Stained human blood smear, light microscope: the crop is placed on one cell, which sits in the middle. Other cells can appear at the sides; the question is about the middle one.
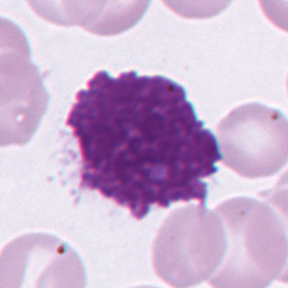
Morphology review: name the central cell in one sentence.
The central cell shown in this smear crop is a smudge cell.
